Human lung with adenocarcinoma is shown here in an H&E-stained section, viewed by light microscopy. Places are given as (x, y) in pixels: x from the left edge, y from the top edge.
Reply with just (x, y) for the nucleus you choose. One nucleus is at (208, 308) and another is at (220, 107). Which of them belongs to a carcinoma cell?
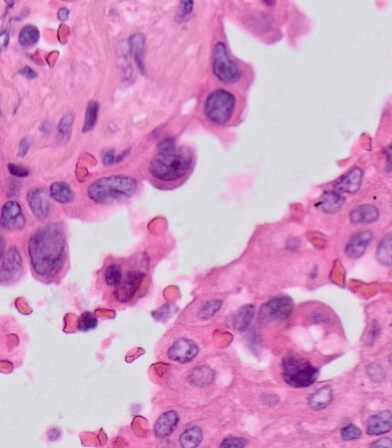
(220, 107)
